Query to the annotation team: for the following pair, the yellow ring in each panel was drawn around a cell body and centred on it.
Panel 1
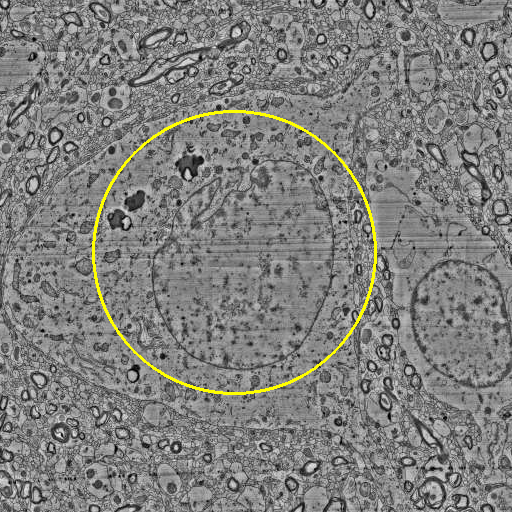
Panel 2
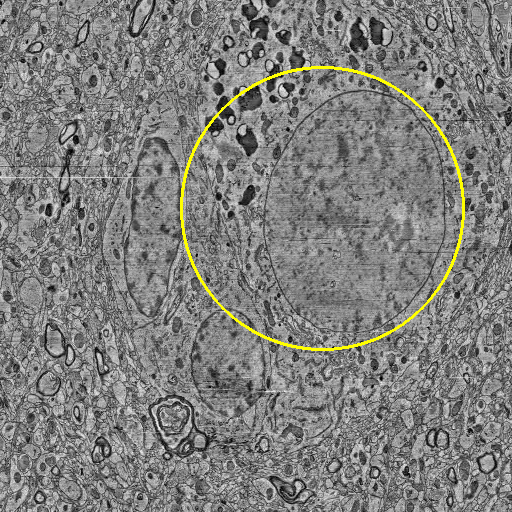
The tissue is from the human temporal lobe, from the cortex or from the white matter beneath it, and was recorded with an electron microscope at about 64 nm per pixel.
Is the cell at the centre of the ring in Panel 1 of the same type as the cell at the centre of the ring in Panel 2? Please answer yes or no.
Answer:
yes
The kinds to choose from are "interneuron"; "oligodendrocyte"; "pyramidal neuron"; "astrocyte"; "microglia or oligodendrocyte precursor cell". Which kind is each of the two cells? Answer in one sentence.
The cell at the ring centre is a pyramidal neuron in both pictures.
